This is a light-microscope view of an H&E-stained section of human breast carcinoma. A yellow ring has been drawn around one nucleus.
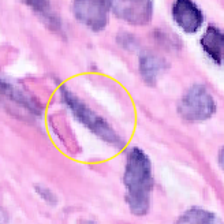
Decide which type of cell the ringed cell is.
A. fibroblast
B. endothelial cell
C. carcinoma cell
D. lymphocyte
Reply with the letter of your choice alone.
B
